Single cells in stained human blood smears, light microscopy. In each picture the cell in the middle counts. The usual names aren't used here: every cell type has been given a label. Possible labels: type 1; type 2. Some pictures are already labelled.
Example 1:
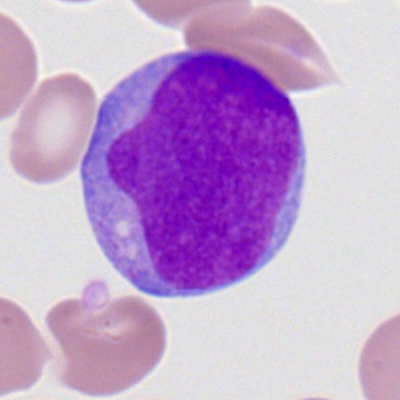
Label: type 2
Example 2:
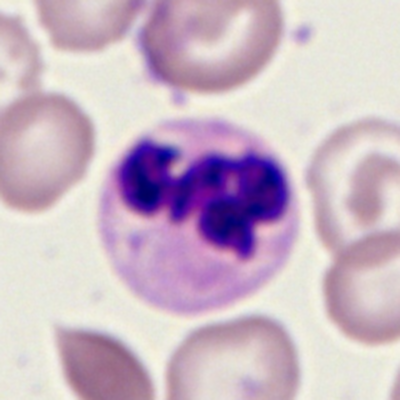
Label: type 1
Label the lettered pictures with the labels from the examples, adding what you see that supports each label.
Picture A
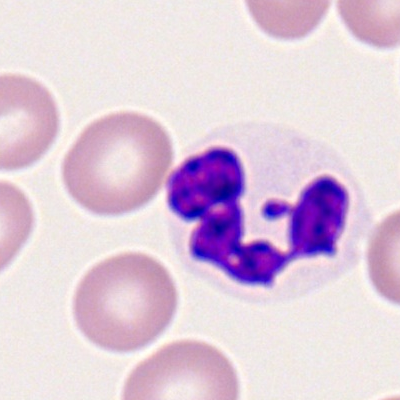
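type 1. Evidence: The nucleus is divided into separate lobes joined by narrow parts.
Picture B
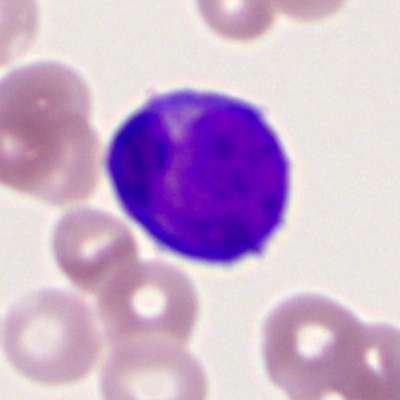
type 2. Evidence: Cytoplasm shows as at most a very thin rim around the nucleus.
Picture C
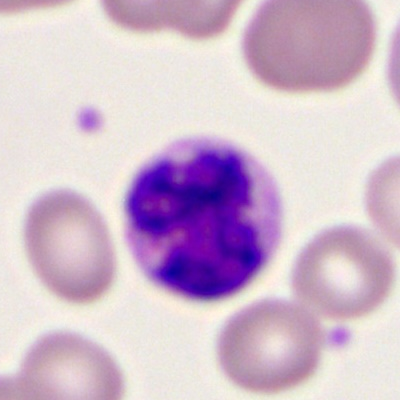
type 1. Evidence: The nucleus is irregular and made up of several clumped lobes.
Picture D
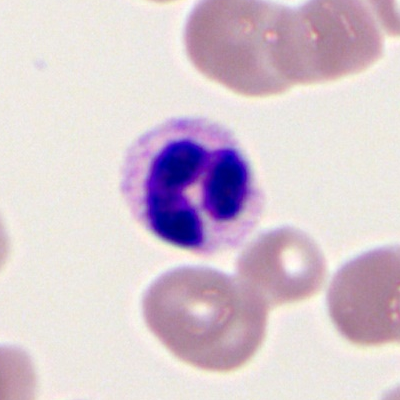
type 1. Evidence: The nucleus is divided into three lobes.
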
